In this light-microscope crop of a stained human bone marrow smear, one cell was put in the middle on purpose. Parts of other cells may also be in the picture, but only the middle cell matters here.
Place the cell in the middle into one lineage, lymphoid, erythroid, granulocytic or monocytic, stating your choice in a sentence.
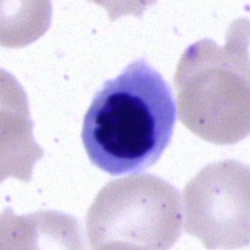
The cell at the center of the crop has erythroid lineage.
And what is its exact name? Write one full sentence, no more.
The centered cell in this crop is an erythroblast.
